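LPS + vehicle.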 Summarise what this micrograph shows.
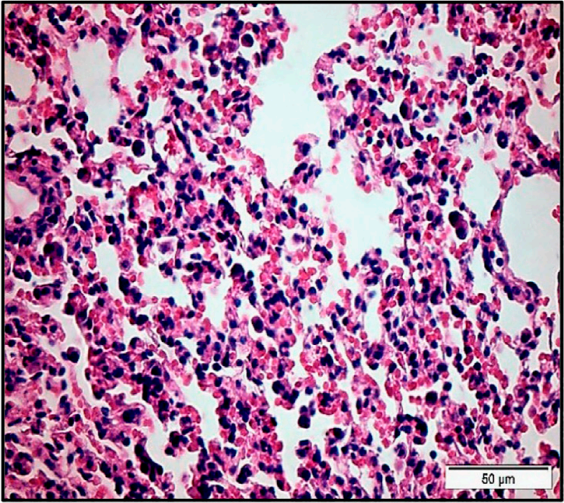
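This is lung tissue in which the alveolar septa are markedly thickened and crowded with cells. Many small, dark purple nuclei lie packed closely together among pink-staining cells, and they fill much of the tissue between the air spaces. The alveolar air spaces are reduced to a few irregular, narrowed pale gaps. As a result, the lung lacks the thin, lace-like appearance of normal tissue.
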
